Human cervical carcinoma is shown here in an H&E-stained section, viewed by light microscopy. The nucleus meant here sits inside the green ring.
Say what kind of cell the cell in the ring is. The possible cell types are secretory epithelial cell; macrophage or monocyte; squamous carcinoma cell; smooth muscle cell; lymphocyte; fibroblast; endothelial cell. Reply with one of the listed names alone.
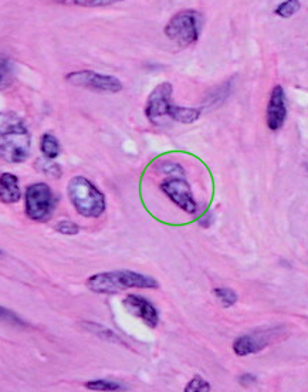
endothelial cell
